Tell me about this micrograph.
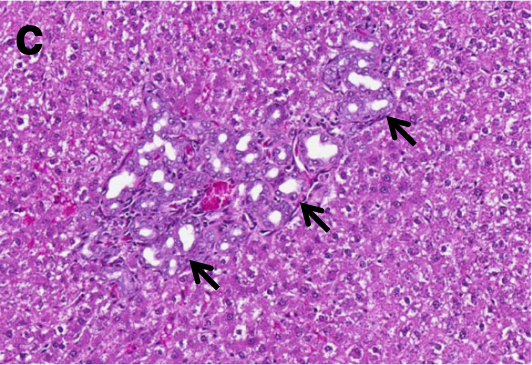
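Liver with hyperplasia of the bile duct: a cluster of many small bile duct profiles lies in the parenchyma among hepatocytes. The ducts have round to oval clear lumens lined by small cells with dark, crowded nuclei, and are set in a slightly more purple, fibrous-looking background. A small blood vessel with red cells lies within the cluster. Around it the hepatocytes are large polygonal cells with pink, somewhat granular cytoplasm and round nuclei, arranged in plates separated by sinusoids.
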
